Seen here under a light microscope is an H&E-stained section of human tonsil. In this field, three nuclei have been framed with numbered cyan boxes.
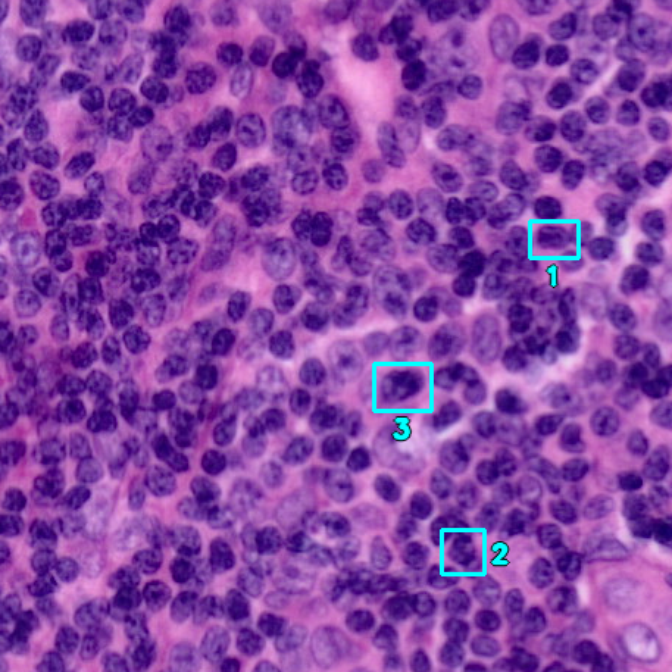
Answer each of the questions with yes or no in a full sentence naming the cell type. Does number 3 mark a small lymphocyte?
No, number 3 is not a small lymphocyte but a proliferating B cell.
